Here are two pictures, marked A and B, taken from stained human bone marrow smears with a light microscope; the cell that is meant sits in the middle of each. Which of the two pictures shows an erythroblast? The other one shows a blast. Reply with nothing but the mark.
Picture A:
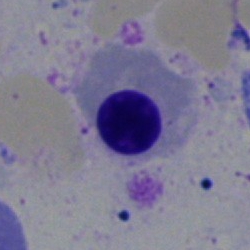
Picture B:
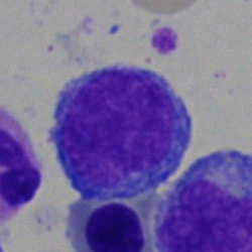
A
